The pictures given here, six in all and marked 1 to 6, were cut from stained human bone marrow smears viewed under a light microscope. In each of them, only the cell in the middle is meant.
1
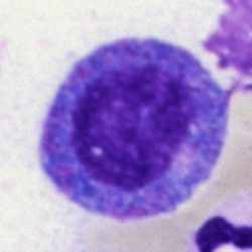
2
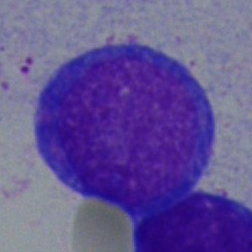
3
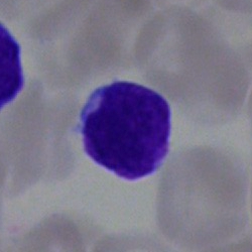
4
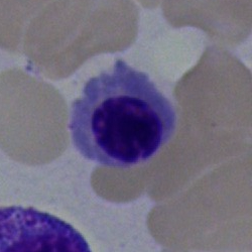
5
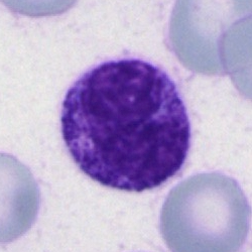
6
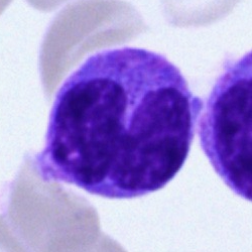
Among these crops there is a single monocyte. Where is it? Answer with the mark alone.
6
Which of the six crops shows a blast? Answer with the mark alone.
2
